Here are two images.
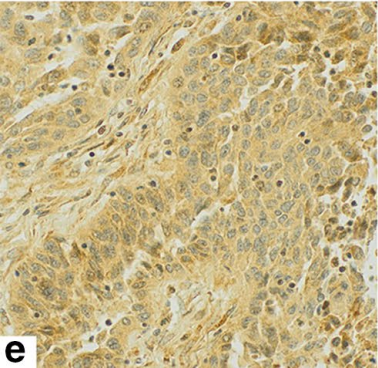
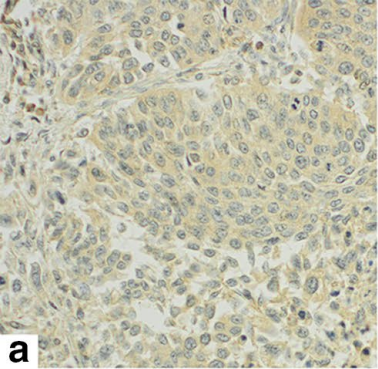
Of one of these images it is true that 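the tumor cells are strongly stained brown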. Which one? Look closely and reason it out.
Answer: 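The first image. First image: the tumor cell sheets have diffuse, clearly brown cytoplasm. Second image: the tumor cells are only faintly tinted, mostly pale grey-beige with blue nuclei.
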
